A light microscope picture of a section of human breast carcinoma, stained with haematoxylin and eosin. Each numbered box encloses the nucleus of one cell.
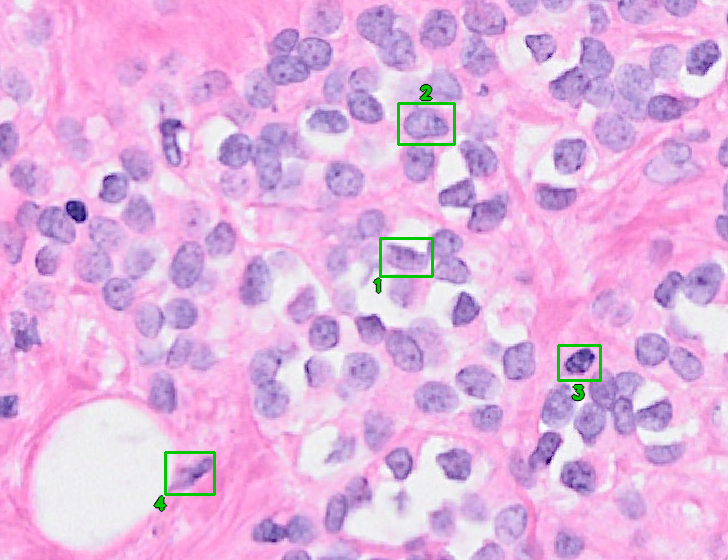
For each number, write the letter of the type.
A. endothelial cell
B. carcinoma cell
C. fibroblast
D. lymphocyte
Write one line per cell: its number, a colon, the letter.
1: B
2: B
3: D
4: C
